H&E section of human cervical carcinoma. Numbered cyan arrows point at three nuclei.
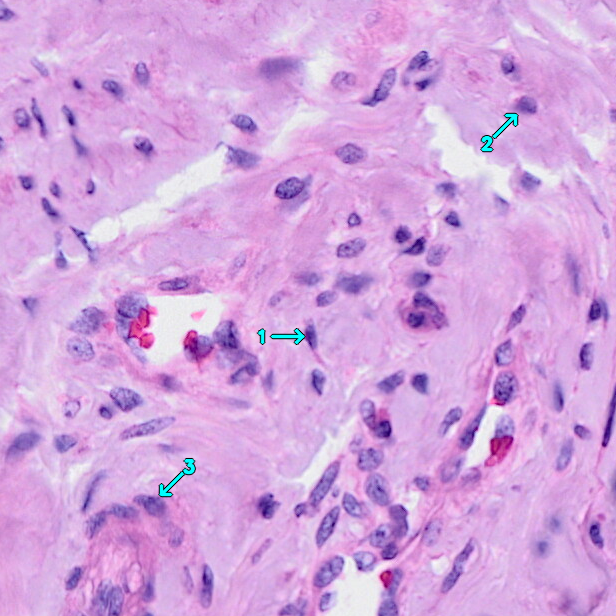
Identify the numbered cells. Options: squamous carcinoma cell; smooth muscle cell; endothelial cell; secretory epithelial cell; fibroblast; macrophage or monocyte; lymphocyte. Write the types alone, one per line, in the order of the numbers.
fibroblast
fibroblast
smooth muscle cell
